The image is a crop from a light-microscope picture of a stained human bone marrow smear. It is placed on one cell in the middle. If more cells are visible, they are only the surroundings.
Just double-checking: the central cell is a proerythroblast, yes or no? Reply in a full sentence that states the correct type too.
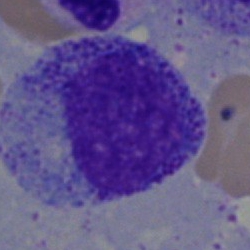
No, the centre cell is not a proerythroblast but a promyelocyte.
